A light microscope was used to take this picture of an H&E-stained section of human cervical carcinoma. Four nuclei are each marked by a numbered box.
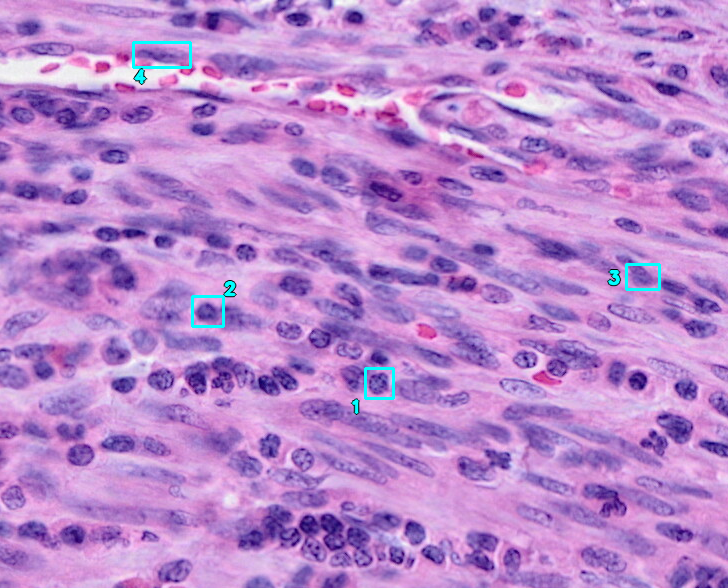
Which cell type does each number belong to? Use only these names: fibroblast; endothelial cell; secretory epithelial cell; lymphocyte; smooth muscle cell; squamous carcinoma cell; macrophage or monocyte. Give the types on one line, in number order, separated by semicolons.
lymphocyte; lymphocyte; smooth muscle cell; endothelial cell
